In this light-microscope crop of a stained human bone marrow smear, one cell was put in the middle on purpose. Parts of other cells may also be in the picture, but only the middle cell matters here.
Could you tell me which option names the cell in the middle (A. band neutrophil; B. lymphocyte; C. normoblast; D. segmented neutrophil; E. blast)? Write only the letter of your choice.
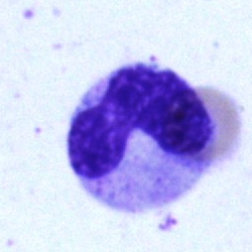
A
